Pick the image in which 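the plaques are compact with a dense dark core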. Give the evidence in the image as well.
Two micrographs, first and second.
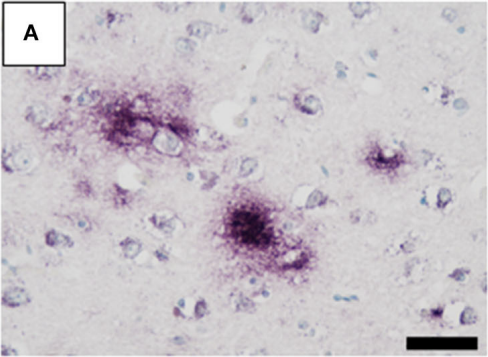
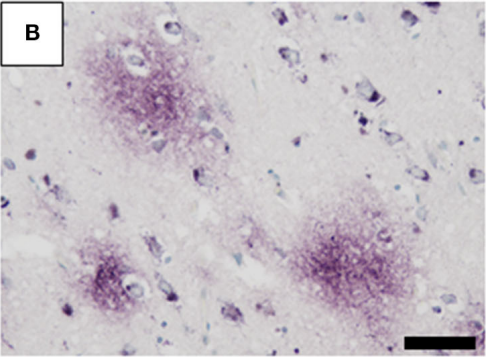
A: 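The first image. Second image: broad, pale, loosely granular deposits fading at their edges. First image: small, dark, compact deposits with dense centres.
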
